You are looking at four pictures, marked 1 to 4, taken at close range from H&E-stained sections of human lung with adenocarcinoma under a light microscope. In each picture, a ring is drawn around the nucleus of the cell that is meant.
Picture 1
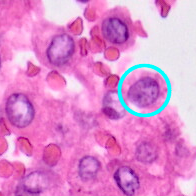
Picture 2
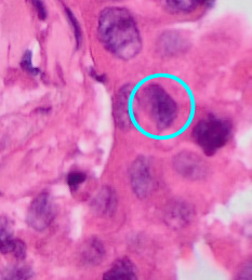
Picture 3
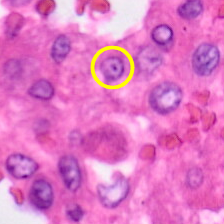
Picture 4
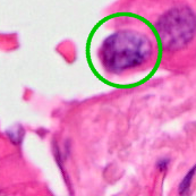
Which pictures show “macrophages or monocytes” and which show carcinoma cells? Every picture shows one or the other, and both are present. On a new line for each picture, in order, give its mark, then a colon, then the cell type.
1: macrophage or monocyte
2: carcinoma cell
3: macrophage or monocyte
4: carcinoma cell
